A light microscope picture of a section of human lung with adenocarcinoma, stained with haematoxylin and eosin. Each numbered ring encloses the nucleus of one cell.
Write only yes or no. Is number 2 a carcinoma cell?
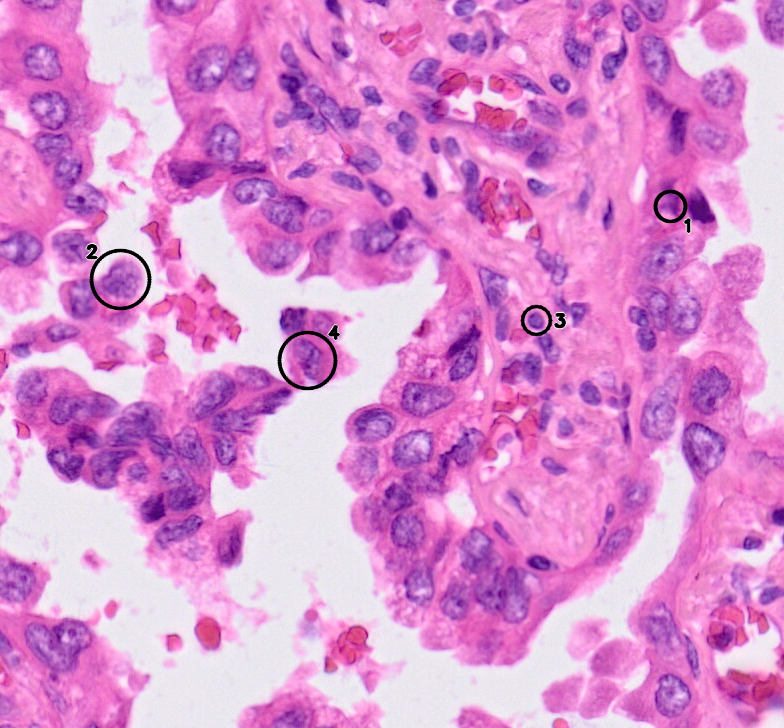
yes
